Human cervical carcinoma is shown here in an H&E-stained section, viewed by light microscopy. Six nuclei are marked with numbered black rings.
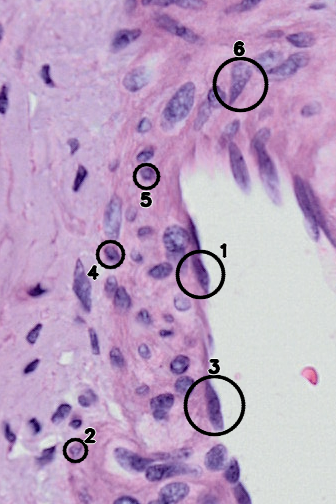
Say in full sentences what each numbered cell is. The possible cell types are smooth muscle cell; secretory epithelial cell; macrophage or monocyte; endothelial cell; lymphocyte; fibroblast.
Cells 1 and 3 are endothelial cells. Cells 2, 4, 5 and 6 are smooth muscle cells.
